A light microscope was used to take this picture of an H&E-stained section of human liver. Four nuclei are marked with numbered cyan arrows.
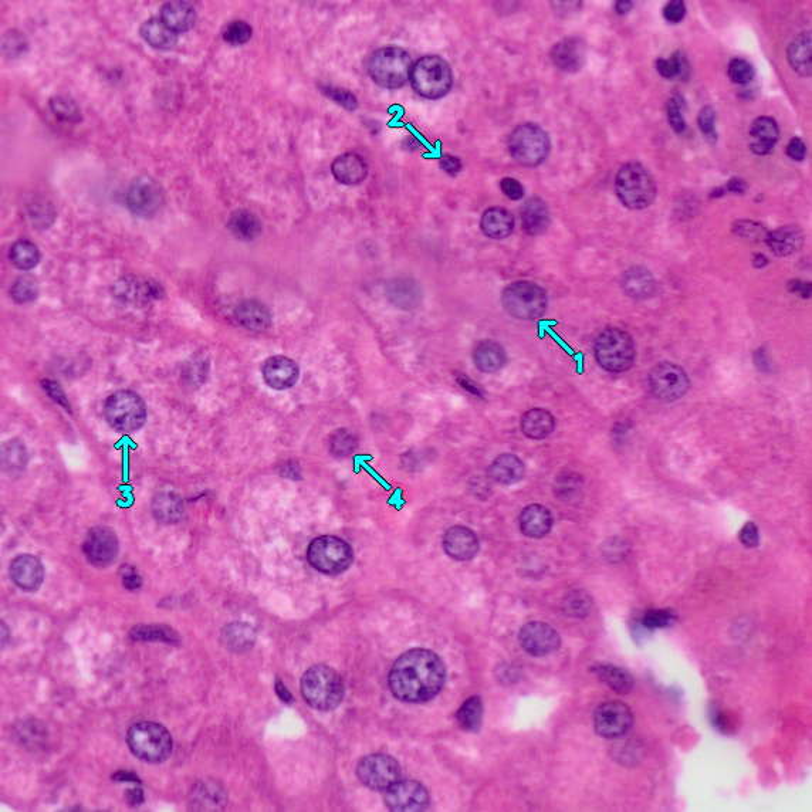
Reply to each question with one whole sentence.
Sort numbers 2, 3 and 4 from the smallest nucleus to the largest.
By area, going up from the smallest, they rank 2, 4, 3.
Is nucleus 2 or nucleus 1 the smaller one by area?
With nucleus 1 about 4 times its size, nucleus 2 is the smaller of the two.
